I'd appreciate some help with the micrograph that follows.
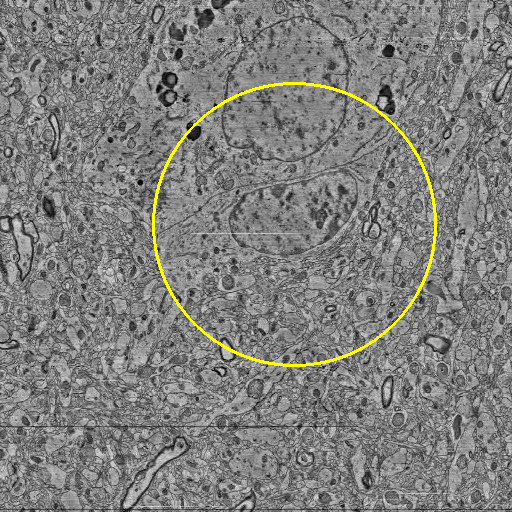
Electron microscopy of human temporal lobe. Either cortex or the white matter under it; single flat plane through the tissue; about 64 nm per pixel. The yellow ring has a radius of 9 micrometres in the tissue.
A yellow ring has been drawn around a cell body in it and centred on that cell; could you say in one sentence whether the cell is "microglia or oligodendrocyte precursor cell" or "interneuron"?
It is a microglial cell or oligodendrocyte precursor cell at the centre of the ring.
